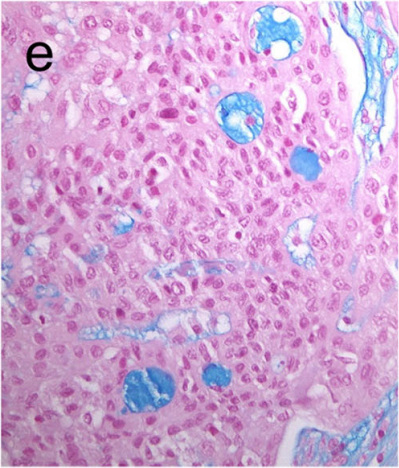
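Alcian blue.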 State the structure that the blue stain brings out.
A: mucinous material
